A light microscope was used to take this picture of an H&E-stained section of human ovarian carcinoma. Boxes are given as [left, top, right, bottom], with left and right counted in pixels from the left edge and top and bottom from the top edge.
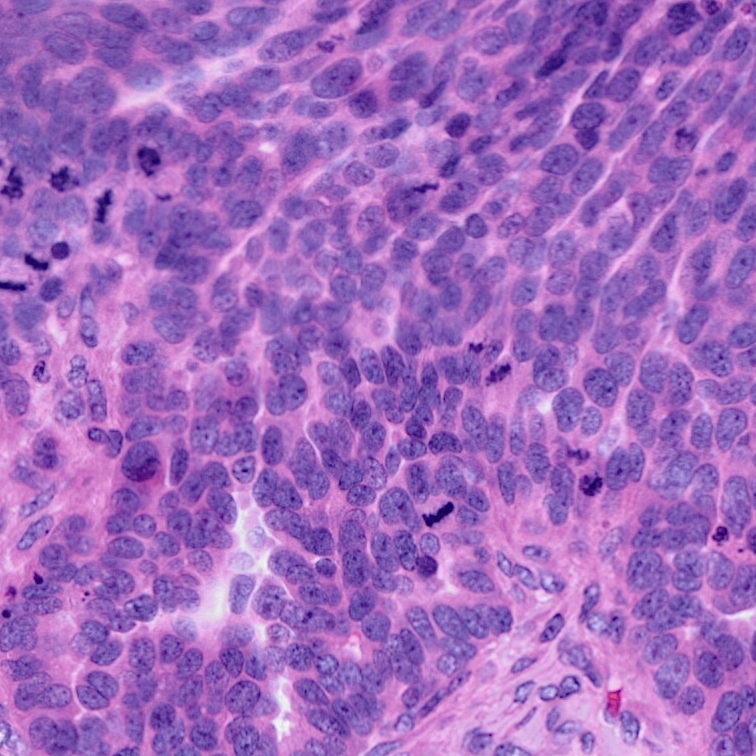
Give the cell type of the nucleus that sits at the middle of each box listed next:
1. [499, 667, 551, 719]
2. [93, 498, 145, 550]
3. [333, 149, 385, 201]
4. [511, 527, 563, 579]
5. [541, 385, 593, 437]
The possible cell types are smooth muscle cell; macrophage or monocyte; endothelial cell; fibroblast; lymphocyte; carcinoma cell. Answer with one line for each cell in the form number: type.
1: fibroblast
2: carcinoma cell
3: carcinoma cell
4: fibroblast
5: carcinoma cell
